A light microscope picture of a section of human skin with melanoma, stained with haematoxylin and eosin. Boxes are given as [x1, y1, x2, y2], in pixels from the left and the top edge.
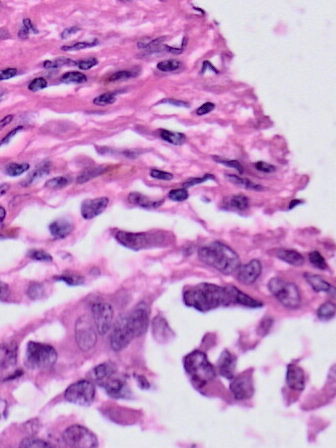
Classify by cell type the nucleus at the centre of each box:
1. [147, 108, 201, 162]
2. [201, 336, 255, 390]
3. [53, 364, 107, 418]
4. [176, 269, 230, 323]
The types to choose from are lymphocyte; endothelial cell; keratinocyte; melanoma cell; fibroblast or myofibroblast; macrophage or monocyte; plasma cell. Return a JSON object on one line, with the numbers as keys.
{"1": "plasma cell", "2": "melanoma cell", "3": "melanoma cell", "4": "melanoma cell"}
